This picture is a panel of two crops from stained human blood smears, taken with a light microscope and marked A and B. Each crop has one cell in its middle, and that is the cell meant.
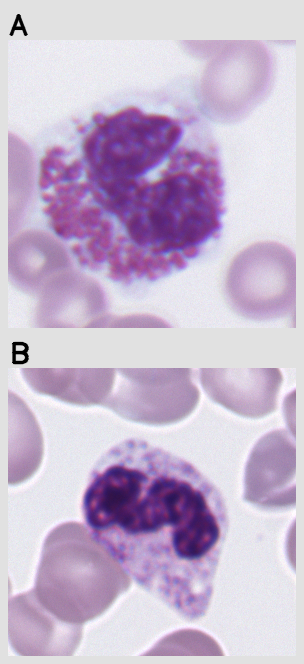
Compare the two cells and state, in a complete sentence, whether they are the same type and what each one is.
No, crop A contains an eosinophil, while crop B contains a segmented neutrophil.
